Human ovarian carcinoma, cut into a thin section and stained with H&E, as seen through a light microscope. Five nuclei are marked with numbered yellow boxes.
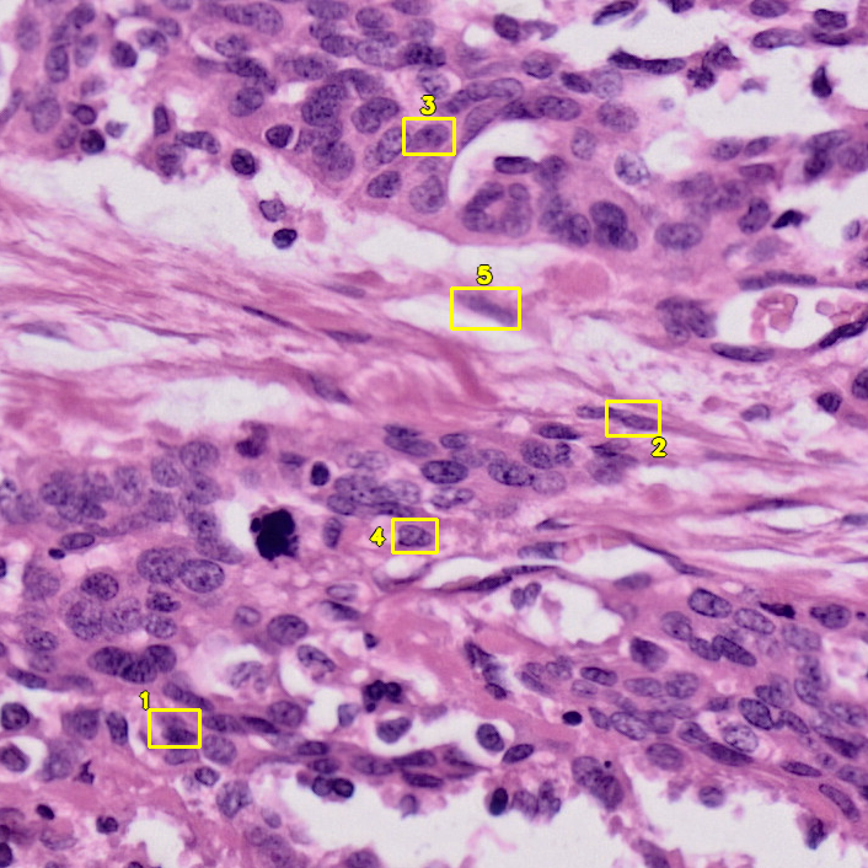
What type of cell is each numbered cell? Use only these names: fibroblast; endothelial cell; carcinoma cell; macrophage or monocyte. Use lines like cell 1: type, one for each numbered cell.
cell 1: carcinoma cell
cell 2: fibroblast
cell 3: carcinoma cell
cell 4: macrophage or monocyte
cell 5: fibroblast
